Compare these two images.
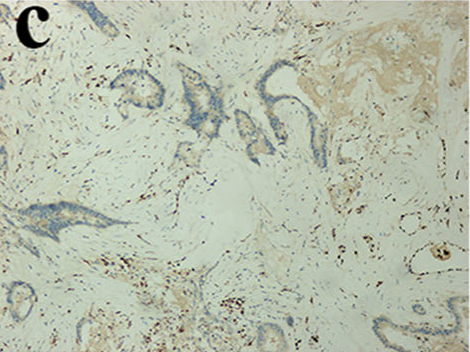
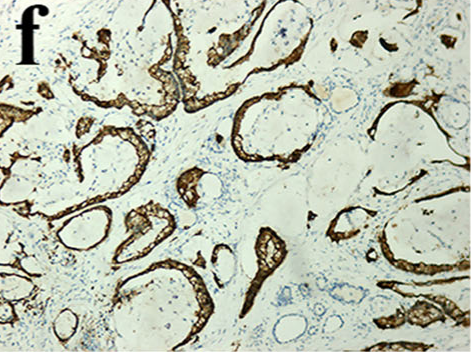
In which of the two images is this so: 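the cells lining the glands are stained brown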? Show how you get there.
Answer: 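Second image: the epithelium of the irregular glands is strongly brown. First image: the gland-lining cells are pale blue with only faint background brown. On this evidence: the second image.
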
